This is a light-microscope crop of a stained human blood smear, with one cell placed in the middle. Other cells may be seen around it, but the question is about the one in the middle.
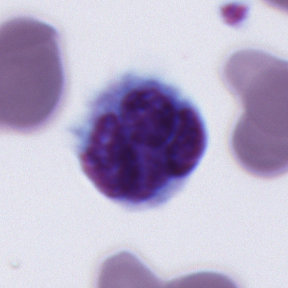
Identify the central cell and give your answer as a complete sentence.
The cell centred in this crop is categorized as a monocyte.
